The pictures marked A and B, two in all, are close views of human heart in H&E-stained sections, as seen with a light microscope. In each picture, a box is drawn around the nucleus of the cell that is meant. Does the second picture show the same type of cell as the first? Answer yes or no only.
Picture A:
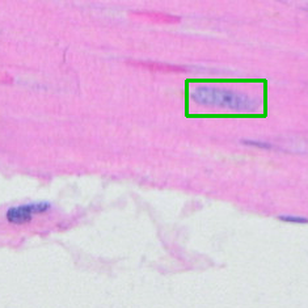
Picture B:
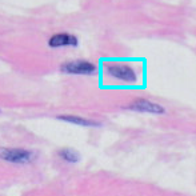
no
